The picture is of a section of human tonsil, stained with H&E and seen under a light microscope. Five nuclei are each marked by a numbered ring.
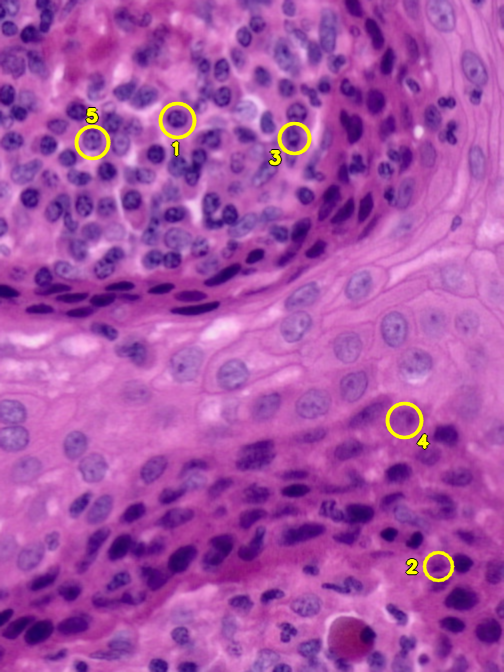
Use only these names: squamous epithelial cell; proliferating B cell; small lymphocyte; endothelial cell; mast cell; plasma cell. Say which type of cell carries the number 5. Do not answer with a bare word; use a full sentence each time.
In this section, number 5 marks a plasma cell.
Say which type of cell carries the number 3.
Here the cell numbered 3 is a plasma cell.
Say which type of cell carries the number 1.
Heads up, the cell numbered 1 is a plasma cell.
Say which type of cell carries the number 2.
The cell numbered 2 has been identified as a squamous epithelial cell.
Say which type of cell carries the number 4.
The cell that is numbered 4 is a squamous epithelial cell.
